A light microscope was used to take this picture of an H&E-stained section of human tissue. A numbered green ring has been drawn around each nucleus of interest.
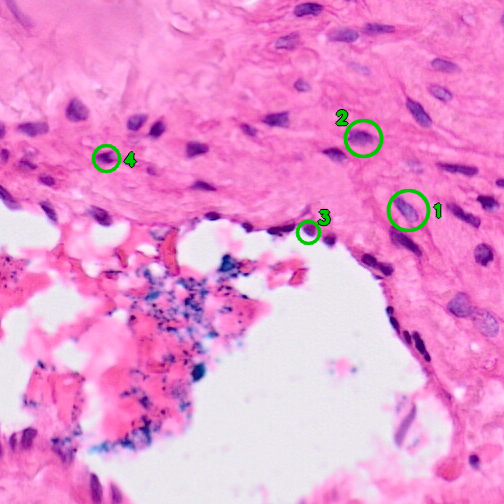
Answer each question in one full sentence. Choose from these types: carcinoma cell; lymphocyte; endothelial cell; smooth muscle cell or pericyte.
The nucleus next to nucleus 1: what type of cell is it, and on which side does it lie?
Just below nucleus 1 lies the nearest nucleus, which belongs to a smooth muscle cell or pericyte.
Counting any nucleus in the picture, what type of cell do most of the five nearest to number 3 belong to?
Around number 3, most of the five nearest nuclei are those of endothelial cells.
